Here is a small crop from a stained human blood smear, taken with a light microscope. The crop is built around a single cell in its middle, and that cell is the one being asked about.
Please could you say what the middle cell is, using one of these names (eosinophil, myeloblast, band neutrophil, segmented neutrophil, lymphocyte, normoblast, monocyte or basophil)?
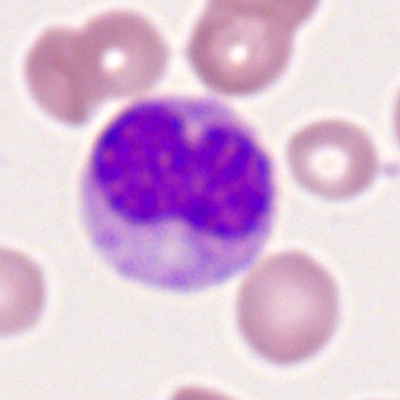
band neutrophil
